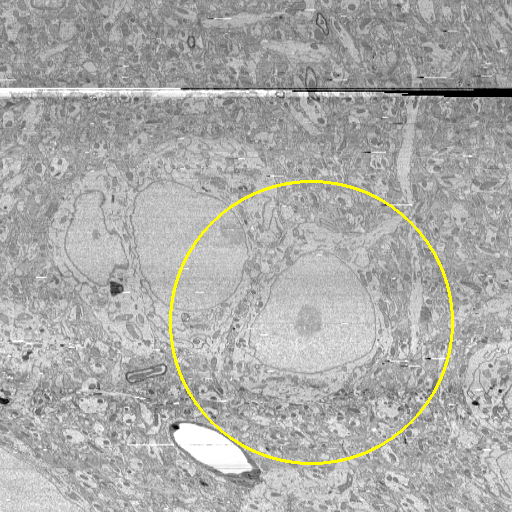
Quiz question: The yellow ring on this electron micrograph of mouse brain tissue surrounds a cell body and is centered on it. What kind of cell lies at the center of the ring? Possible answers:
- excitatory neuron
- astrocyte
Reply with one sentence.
The ring's center lies on an excitatory neuron.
